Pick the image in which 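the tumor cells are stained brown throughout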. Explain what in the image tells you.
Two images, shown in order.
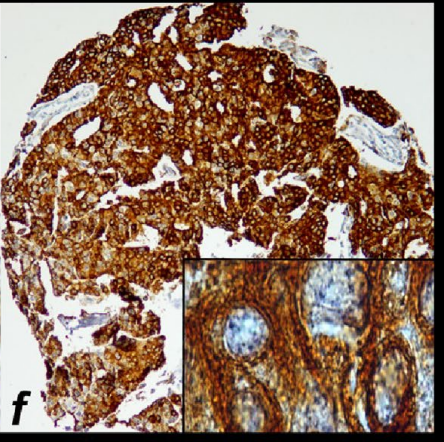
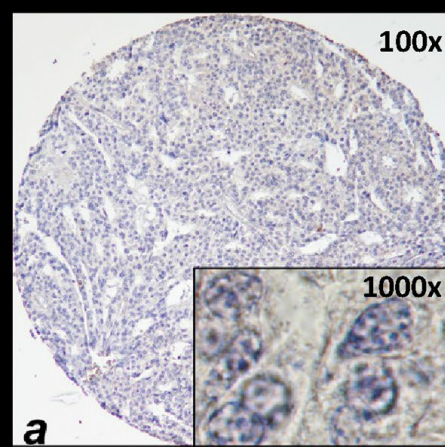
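First image: nearly all epithelial cells of the core are deep brown. Second image: the cells are blue with no brown stain. The answer: the first image.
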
